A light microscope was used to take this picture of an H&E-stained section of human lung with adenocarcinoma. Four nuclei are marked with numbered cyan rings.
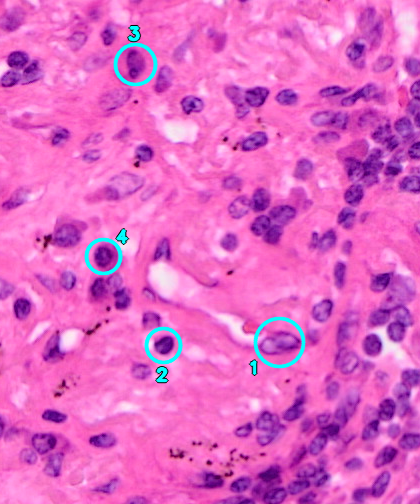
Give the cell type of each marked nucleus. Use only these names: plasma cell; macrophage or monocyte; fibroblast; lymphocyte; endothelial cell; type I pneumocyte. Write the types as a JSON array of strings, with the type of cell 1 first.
["endothelial cell", "lymphocyte", "plasma cell", "plasma cell"]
